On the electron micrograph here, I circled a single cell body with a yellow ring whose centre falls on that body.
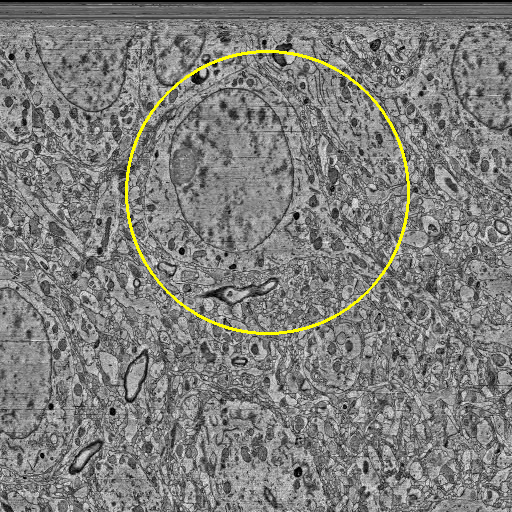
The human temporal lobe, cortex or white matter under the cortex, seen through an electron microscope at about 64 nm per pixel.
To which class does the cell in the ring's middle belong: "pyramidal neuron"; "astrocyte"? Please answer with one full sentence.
In this picture, the cell body circled at the ring's centre belongs to a pyramidal neuron.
